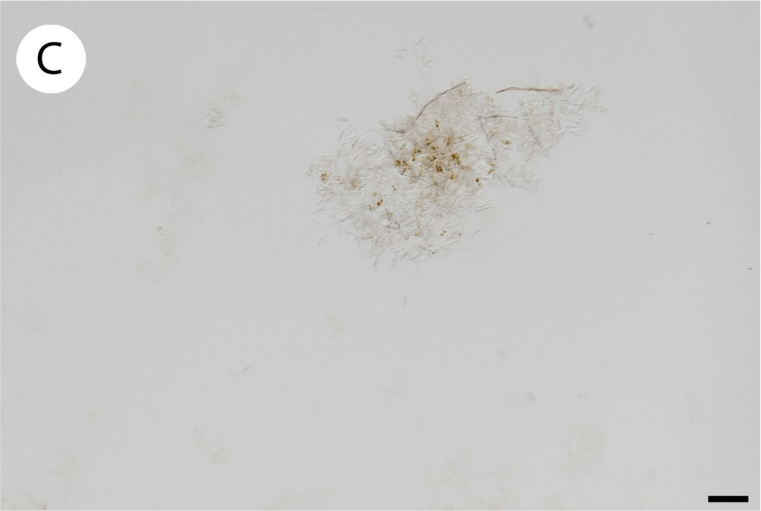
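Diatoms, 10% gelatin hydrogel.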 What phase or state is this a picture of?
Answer: Dying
